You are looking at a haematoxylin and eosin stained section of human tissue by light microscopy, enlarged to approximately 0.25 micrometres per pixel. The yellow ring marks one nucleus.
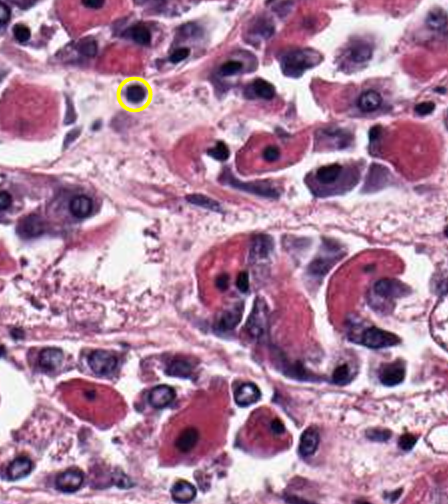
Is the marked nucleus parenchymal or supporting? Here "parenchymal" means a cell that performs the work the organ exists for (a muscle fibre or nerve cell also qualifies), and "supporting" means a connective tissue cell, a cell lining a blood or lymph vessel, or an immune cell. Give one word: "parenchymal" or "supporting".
supporting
